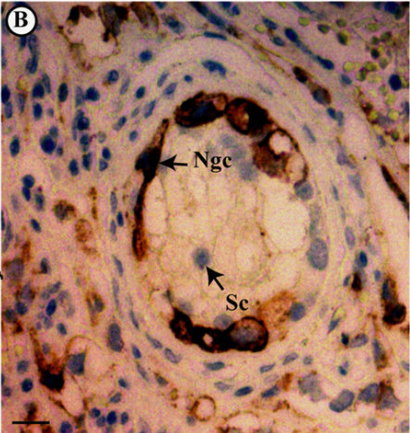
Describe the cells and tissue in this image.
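A tubule with intratubular germ cell neoplasia, in which large neoplastic germ cells with dark brown-stained cytoplasm and rounded nuclei sit along the tubular wall. Sertoli cells with small oval blue nuclei lie within a pale, meshy, vacuolated centre. Around the tubule a layered wall of flattened cells gives way to interstitium with scattered blue nuclei and some brown-stained cells.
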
